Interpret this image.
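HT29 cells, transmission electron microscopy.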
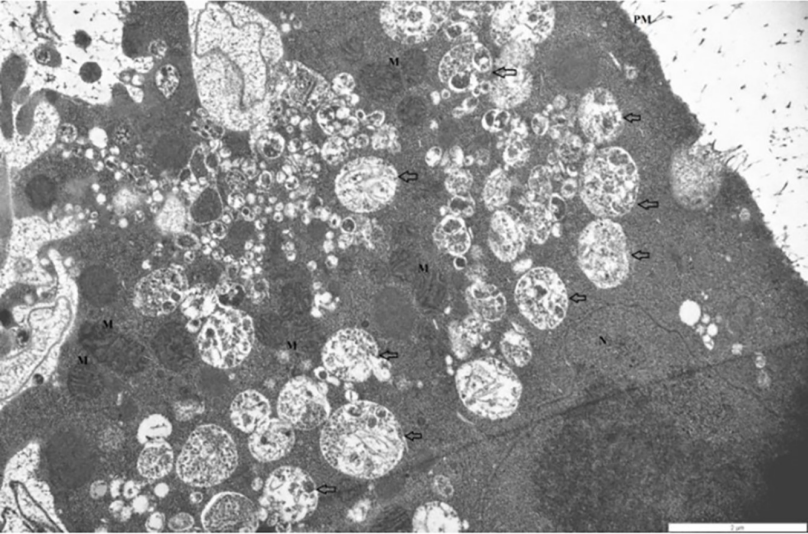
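Part of a cell is seen whose cytoplasm is crowded with round membrane-bound vacuoles of various sizes, lying singly and in aggregates. Many larger vacuoles are filled with granular and membranous material, while smaller ones are pale and clustered. Dark mitochondria with cristae lie between the vacuoles, and part of a nucleus lies at the lower right. The plasma membrane bounds the cell at the upper right.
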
